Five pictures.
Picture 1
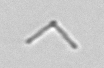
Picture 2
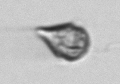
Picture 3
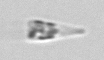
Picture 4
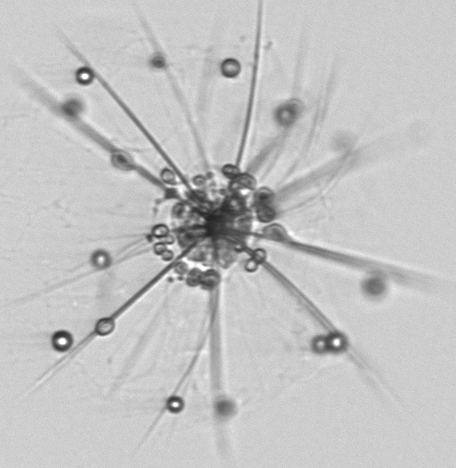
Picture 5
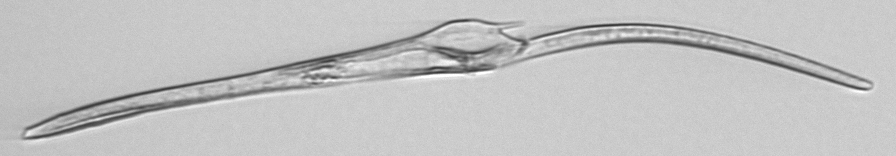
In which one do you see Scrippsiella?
In picture 2.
